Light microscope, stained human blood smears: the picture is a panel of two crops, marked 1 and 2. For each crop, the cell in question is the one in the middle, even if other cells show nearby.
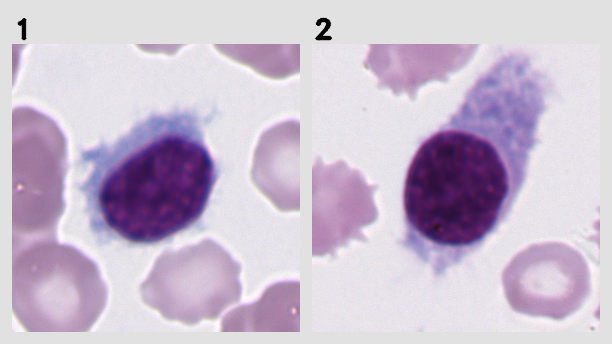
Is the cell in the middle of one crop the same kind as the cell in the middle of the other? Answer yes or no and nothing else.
yes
